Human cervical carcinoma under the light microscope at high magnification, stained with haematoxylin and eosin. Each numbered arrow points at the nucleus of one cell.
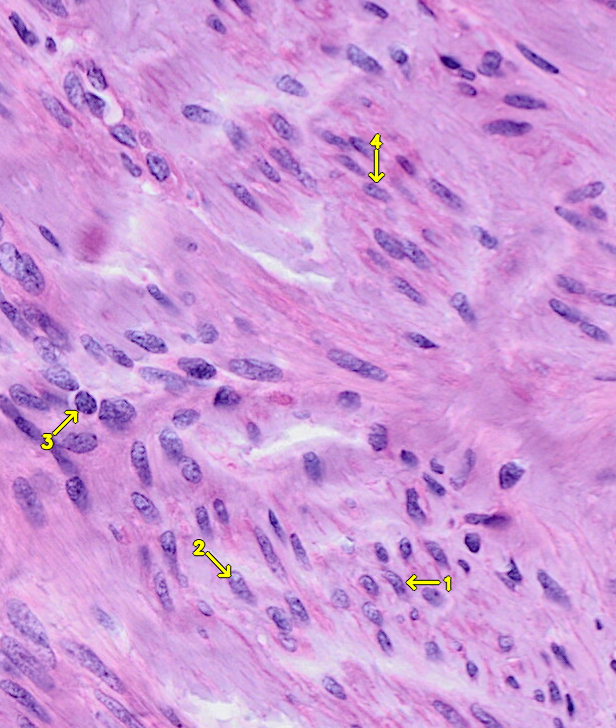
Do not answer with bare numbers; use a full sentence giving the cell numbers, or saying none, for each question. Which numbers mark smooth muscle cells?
The cells identified by the numbers 1, 2 and 4 are smooth muscle cells.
